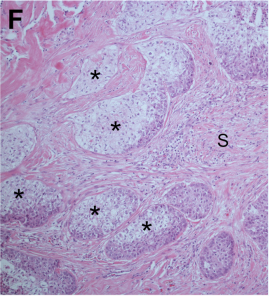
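Nests of epithelial tumor cells lie scattered in pink fibrous stroma. Several rounded nests are made of cells with pale, clear cytoplasm, while other nests consist of more crowded cells with darker purple staining. The nests are separated by bands of collagen containing scattered spindle-shaped nuclei.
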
